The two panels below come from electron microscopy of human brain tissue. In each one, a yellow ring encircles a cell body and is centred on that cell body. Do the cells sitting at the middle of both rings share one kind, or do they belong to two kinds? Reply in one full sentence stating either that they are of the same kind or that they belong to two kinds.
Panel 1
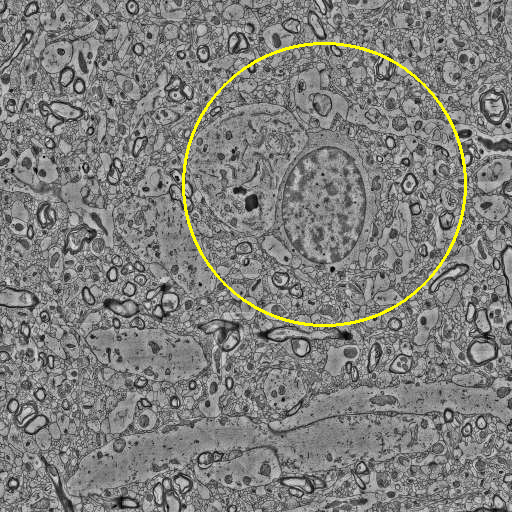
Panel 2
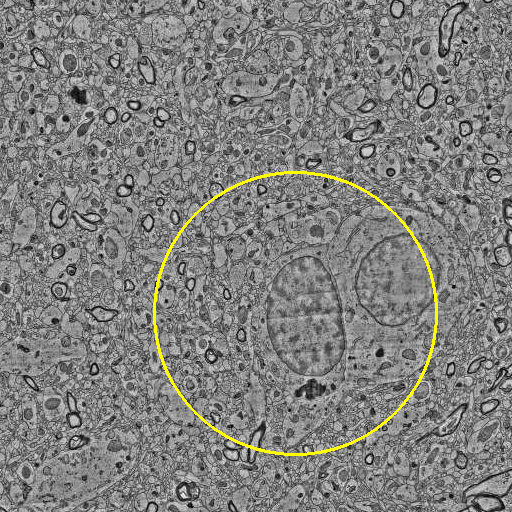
The cells at the centres of the two rings are of the same kind.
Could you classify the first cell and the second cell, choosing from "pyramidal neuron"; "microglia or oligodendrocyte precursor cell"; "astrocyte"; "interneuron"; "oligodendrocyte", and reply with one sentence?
The cell in the first picture is an oligodendrocyte, and so is the one in the second.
